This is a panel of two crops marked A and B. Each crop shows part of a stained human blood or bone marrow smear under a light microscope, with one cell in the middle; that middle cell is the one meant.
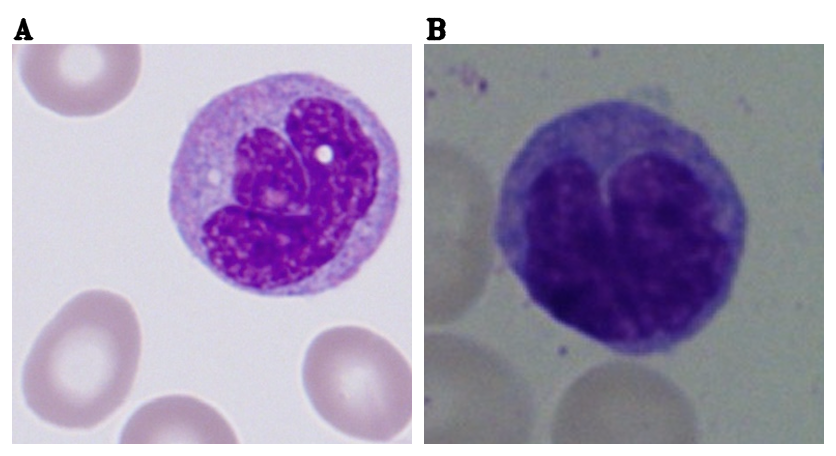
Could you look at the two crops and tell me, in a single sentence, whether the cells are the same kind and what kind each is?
Yes, both crops show monocytes, each crop centred on one of them.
